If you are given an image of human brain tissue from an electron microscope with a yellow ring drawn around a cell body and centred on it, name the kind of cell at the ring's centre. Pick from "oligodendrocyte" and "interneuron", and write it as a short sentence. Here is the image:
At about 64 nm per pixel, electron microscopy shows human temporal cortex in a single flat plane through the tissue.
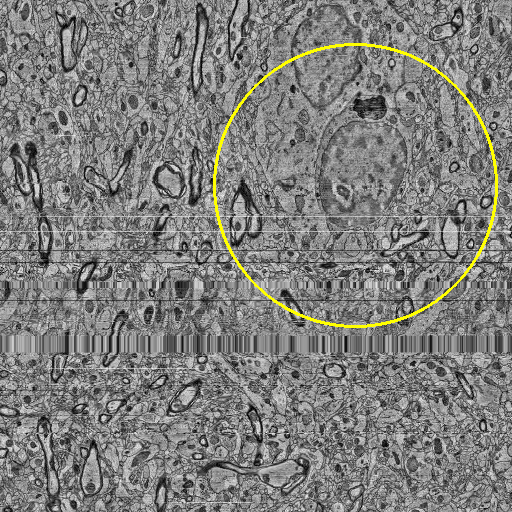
The cell at the ring's centre is an oligodendrocyte.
